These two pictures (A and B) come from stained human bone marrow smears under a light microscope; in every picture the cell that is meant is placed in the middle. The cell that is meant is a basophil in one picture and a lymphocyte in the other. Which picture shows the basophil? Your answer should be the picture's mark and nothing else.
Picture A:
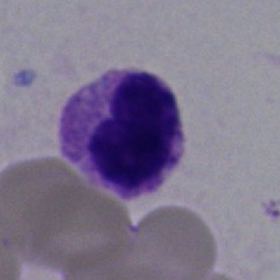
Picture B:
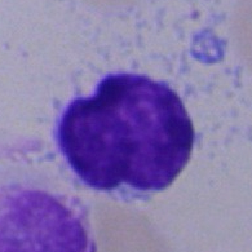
A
